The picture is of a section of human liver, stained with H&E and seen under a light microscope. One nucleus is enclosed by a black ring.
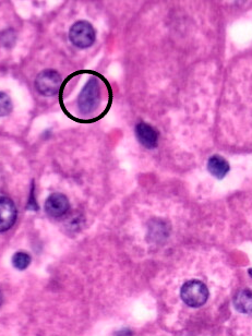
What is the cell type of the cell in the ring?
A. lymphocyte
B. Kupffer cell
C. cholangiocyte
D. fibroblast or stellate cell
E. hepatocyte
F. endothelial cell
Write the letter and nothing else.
B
